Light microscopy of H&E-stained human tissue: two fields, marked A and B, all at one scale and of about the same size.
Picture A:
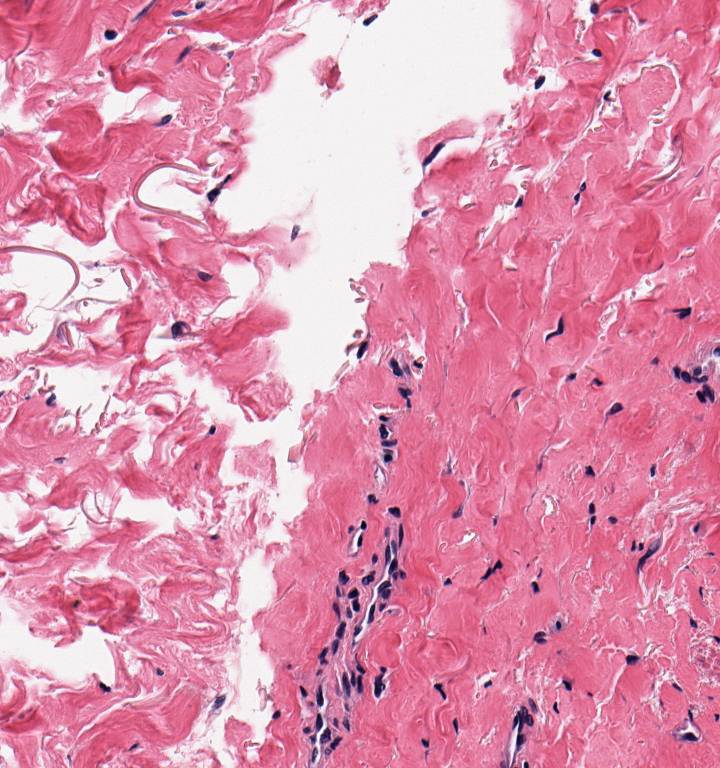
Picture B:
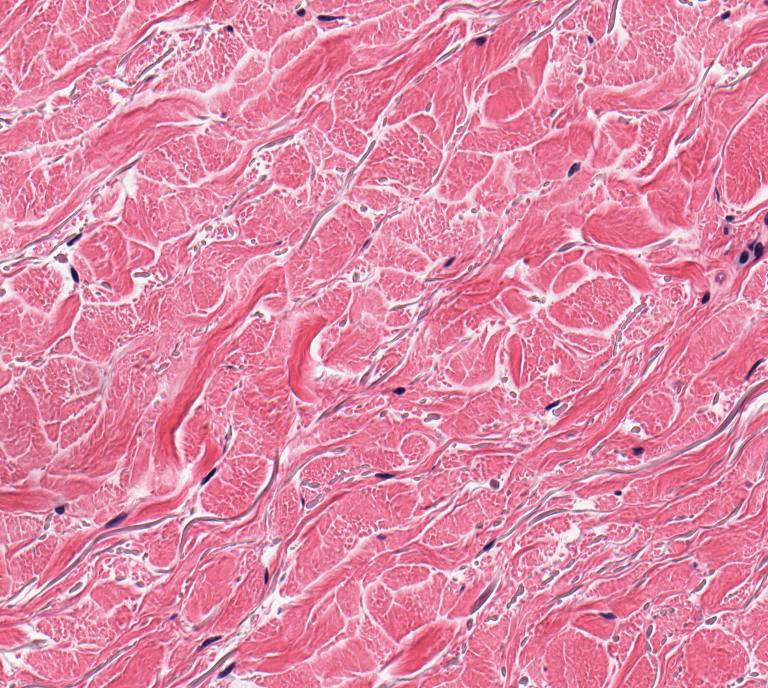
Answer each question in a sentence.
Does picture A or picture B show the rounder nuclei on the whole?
The nuclei are rounder in picture A.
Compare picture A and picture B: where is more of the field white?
More of picture A is empty and white.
